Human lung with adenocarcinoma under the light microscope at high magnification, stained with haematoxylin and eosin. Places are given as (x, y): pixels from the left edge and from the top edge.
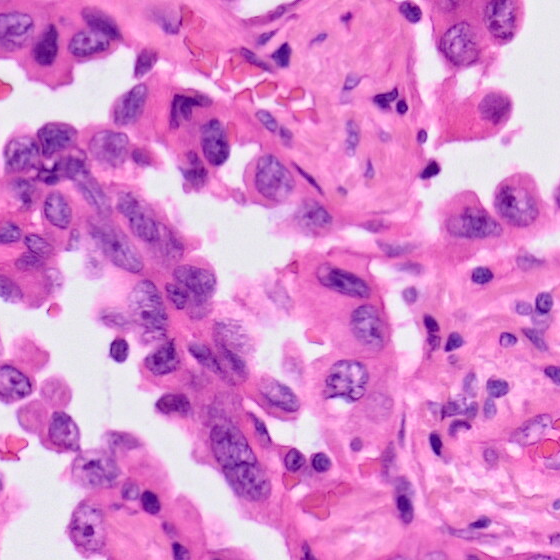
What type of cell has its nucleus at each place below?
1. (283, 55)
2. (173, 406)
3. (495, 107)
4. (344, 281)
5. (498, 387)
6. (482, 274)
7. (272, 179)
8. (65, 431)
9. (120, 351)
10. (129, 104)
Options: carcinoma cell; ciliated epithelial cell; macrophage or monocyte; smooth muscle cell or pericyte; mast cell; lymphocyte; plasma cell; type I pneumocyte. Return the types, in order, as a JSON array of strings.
["lymphocyte", "carcinoma cell", "carcinoma cell", "carcinoma cell", "lymphocyte", "lymphocyte", "carcinoma cell", "carcinoma cell", "lymphocyte", "carcinoma cell"]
